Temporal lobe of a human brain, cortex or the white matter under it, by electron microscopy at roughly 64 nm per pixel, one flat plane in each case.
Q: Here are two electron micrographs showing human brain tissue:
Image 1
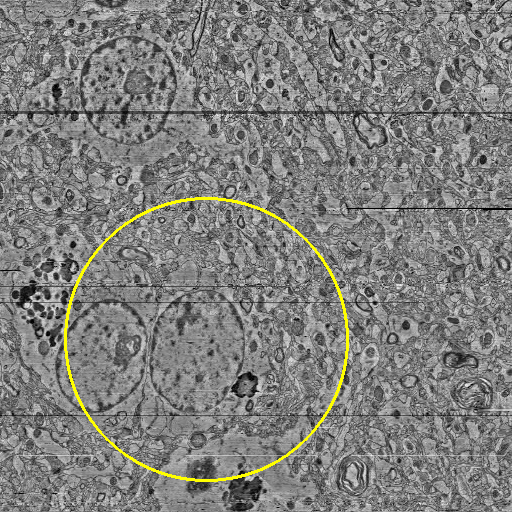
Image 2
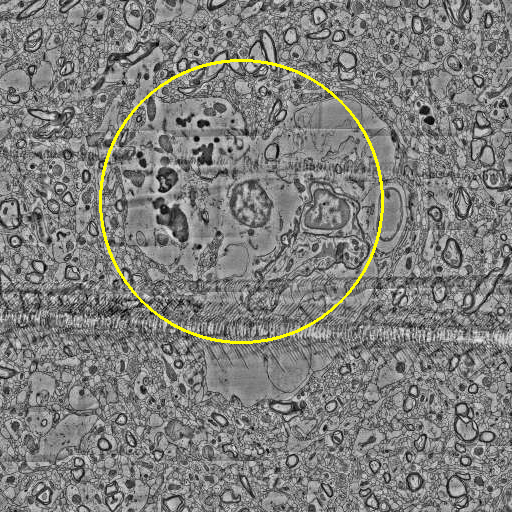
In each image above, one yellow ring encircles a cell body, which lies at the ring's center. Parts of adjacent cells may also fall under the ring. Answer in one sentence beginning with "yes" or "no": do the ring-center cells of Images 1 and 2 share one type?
Yes, in Images 1 and 2, the ring-center cells are both of one type.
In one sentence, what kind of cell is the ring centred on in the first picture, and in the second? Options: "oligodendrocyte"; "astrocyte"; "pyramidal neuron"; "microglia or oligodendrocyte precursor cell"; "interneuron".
Each of the two rings is centred on an astrocyte.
